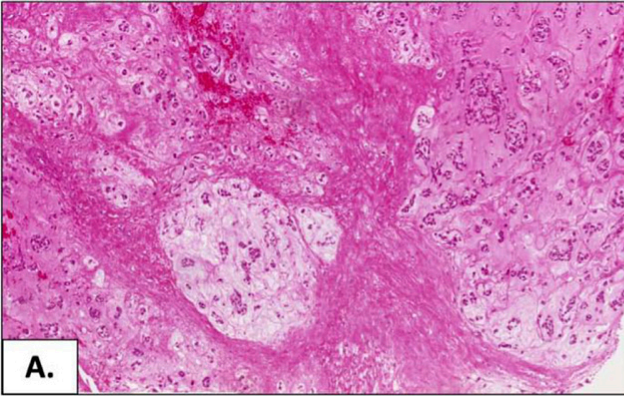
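Low-power view of a tumour with a nodular architecture. Rounded lobules of cells are separated by bands of denser pink fibrous tissue. A pale, well-demarcated nodule lies in the centre, with loosely scattered cells and small clusters in a clear, watery-looking myxoid stroma. Small areas of red blood cells are seen near the top of the field.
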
